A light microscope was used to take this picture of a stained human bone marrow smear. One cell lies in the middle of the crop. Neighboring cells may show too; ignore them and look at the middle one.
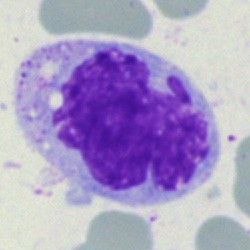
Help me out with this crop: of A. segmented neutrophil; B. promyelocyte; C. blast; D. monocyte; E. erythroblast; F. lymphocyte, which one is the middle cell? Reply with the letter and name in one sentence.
The middle cell of the crop is a monocyte; accordingly, option D is correct.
